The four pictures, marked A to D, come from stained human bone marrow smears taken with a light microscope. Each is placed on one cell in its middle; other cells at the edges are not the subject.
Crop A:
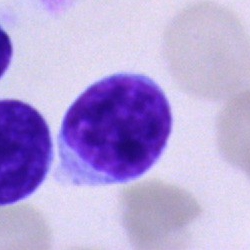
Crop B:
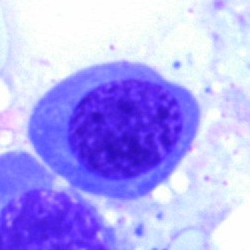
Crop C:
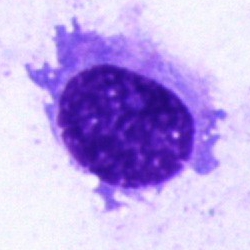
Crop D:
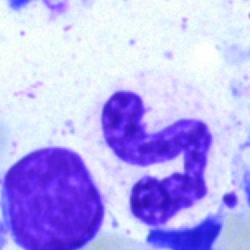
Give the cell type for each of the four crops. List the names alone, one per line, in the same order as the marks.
lymphocyte
erythroblast
plasma cell
segmented neutrophil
